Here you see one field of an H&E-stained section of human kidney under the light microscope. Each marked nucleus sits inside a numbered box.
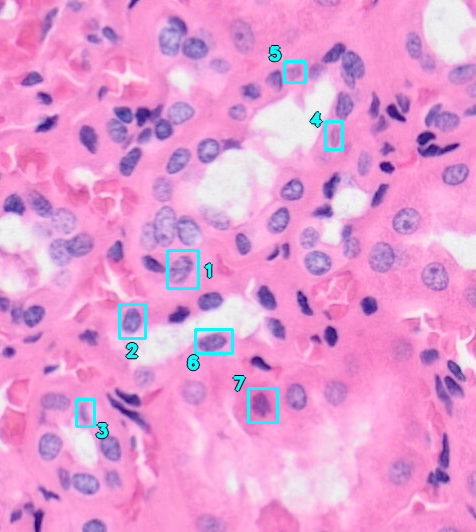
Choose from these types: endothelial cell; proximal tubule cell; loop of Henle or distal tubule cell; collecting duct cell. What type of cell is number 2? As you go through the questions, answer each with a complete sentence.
The marked nucleus 2 is that of a loop of Henle or distal tubule cell.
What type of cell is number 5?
The cell carrying label 5 is identified as a collecting duct cell.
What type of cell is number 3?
Cell 3, among those numbered, is a collecting duct cell.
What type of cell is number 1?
The numbered cell 1 in this field is a collecting duct cell.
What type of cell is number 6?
In this section, the cell numbered 6 is a loop of Henle or distal tubule cell.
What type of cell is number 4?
The cell numbered 4 has been identified as a collecting duct cell.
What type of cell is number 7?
Number 7 is placed on a proximal tubule cell here.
